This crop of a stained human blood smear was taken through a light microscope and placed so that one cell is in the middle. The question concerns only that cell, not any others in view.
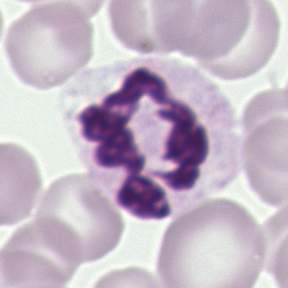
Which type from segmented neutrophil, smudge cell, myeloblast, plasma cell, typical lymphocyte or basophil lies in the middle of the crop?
segmented neutrophil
